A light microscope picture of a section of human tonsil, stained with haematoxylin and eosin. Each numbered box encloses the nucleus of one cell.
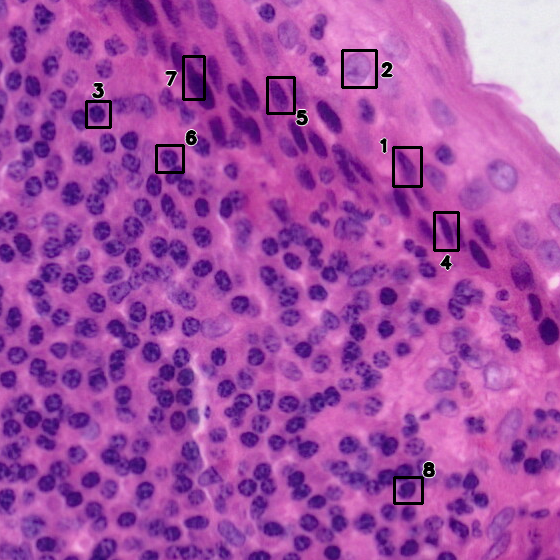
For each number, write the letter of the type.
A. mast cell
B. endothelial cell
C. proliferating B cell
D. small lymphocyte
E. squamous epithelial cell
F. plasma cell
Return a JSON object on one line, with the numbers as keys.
{"1": "E", "2": "E", "3": "F", "4": "E", "5": "E", "6": "F", "7": "E", "8": "F"}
